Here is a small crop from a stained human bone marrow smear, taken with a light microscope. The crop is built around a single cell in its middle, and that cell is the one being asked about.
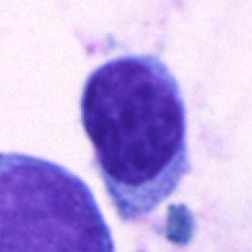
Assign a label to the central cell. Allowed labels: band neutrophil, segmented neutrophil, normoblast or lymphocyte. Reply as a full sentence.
On this slide crop, the central cell is a lymphocyte.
